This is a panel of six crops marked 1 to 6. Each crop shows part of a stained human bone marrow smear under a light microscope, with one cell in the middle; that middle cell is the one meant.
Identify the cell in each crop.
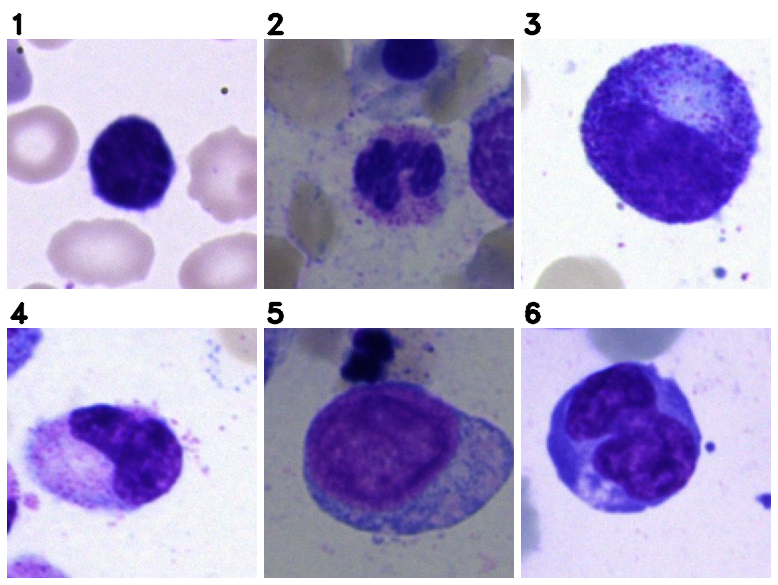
1: lymphocyte
2: basophil
3: promyelocyte
4: metamyelocyte
5: blast
6: blast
